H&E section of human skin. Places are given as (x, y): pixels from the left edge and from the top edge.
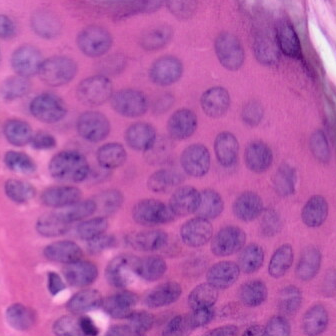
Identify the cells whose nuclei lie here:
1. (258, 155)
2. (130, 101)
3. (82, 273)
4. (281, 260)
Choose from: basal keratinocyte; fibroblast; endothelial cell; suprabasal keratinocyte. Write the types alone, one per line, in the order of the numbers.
suprabasal keratinocyte
suprabasal keratinocyte
basal keratinocyte
suprabasal keratinocyte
